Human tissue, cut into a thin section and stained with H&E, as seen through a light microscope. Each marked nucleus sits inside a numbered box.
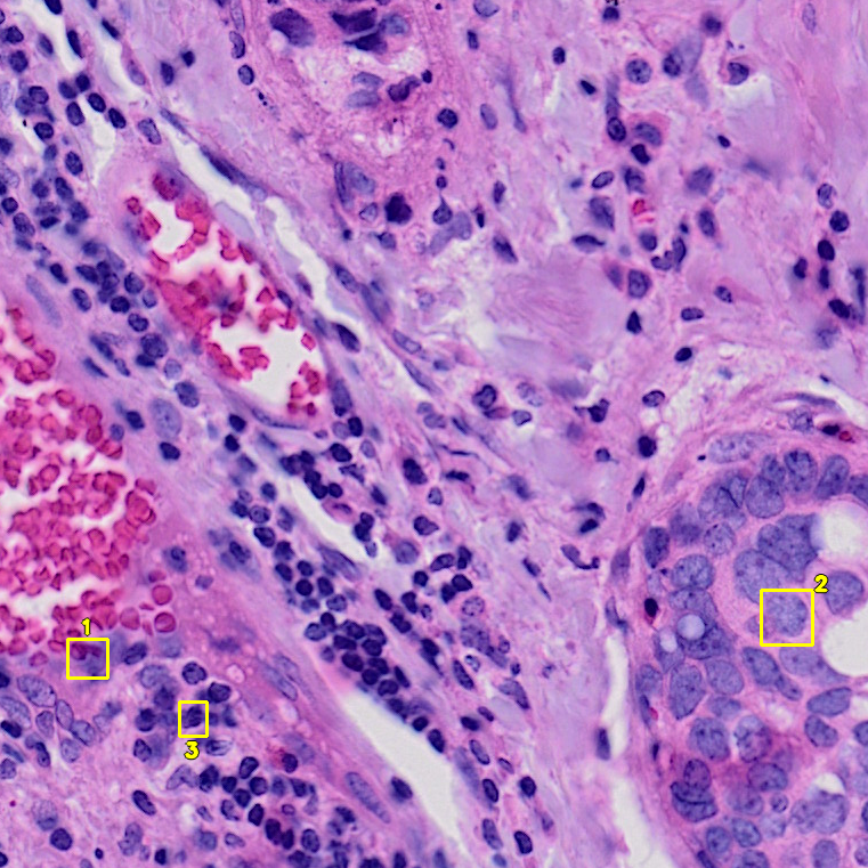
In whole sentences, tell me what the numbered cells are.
Cell 1 is an endothelial cell, cell 2 is a carcinoma cell and cell 3 is a lymphocyte.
